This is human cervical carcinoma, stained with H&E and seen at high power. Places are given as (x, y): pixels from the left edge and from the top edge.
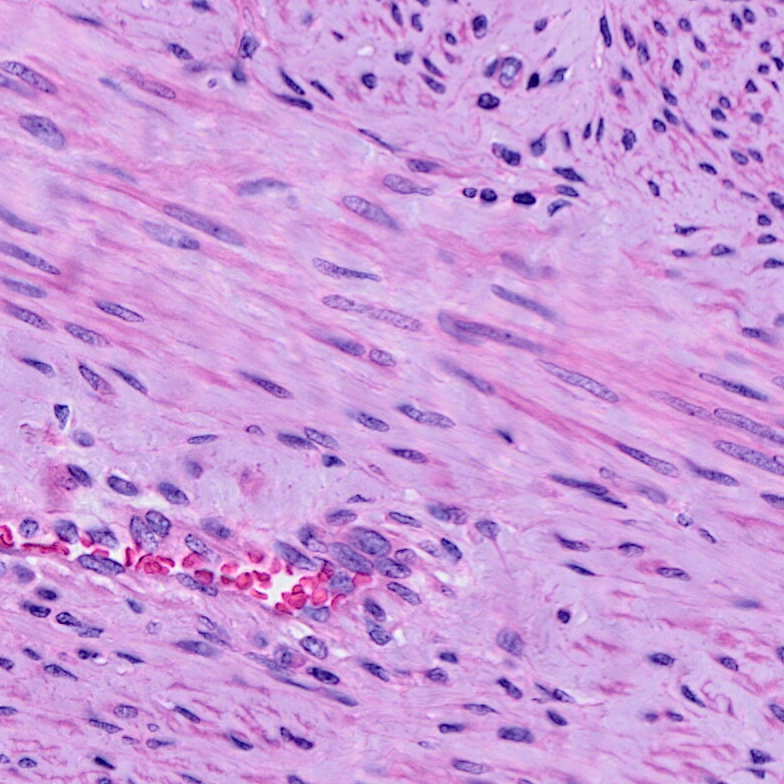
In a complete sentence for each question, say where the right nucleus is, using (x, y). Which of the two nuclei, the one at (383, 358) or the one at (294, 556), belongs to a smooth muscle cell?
Of the two candidate nuclei, the one at (383, 358) is that of a smooth muscle cell.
